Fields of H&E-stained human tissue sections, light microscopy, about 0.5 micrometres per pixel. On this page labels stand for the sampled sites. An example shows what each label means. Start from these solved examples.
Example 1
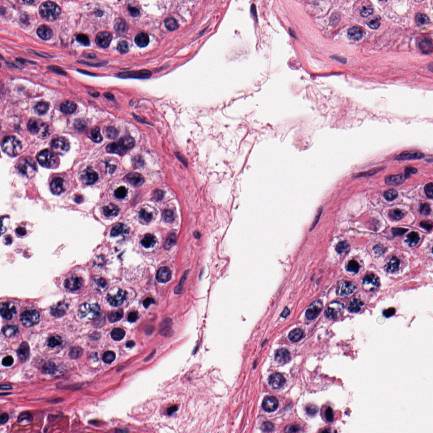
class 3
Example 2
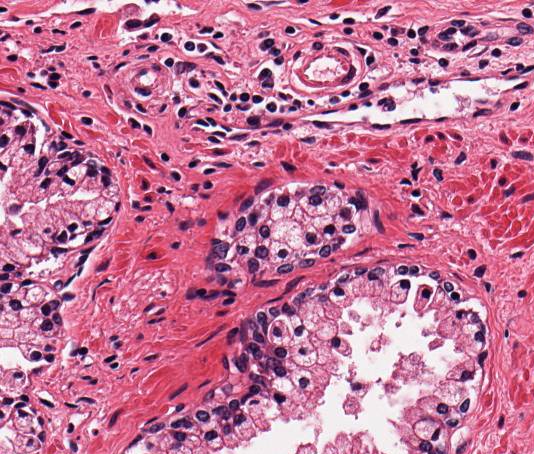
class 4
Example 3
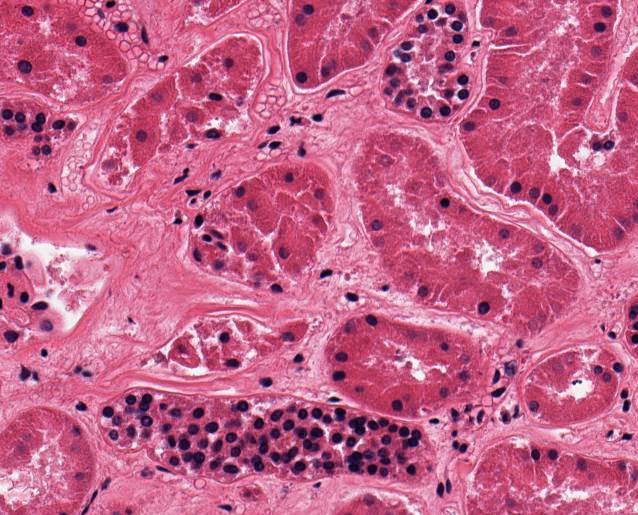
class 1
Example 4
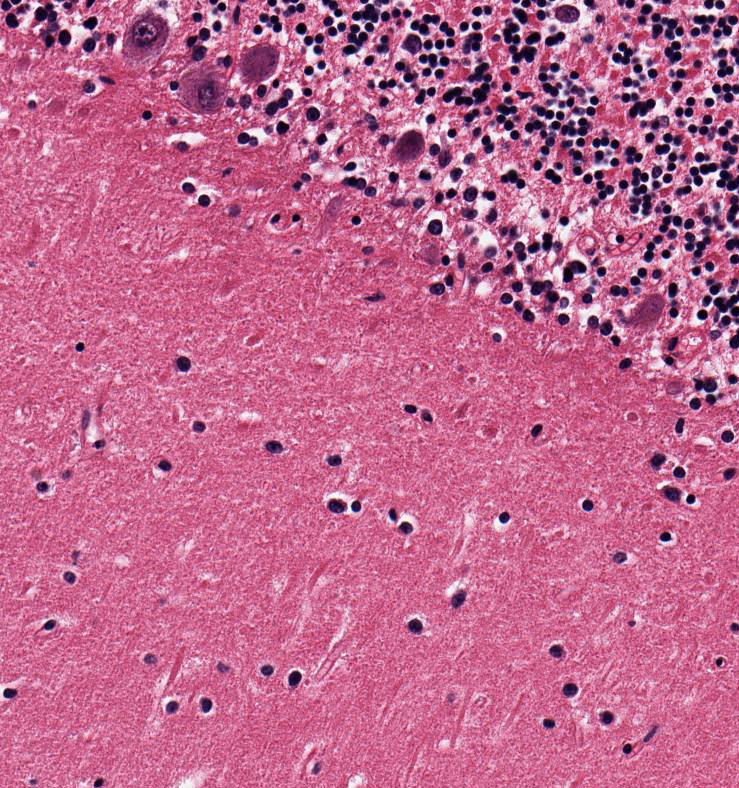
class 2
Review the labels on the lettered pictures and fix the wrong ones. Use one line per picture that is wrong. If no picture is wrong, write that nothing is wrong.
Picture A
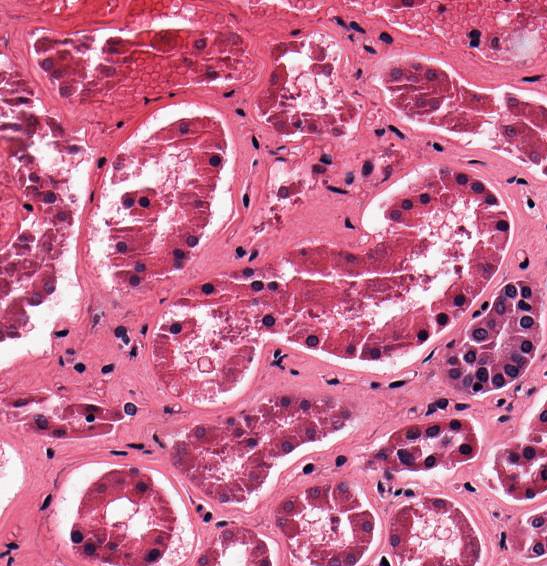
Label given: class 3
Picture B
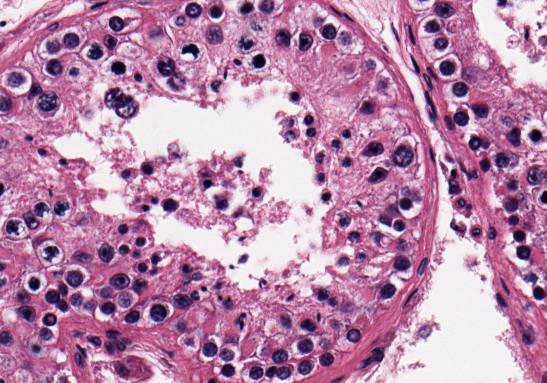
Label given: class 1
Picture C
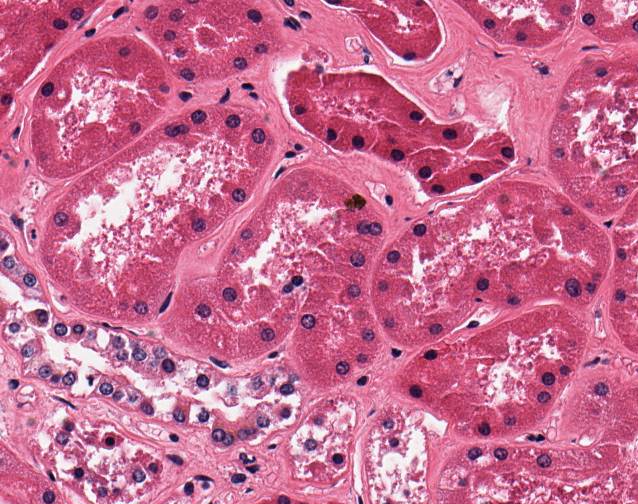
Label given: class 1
A: class 1, not class 3
B: class 3, not class 1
